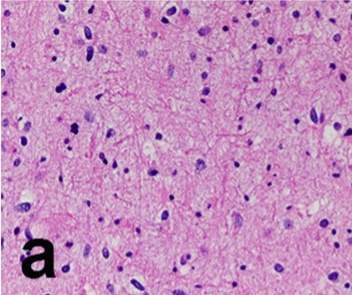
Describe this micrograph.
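This is an astrocytic tumor area in which moderately spaced cells lie in a pink fibrillary background. The nuclei are irregular, elongated or angular and dark, with scant cytoplasm, and perinuclear halos are largely absent.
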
